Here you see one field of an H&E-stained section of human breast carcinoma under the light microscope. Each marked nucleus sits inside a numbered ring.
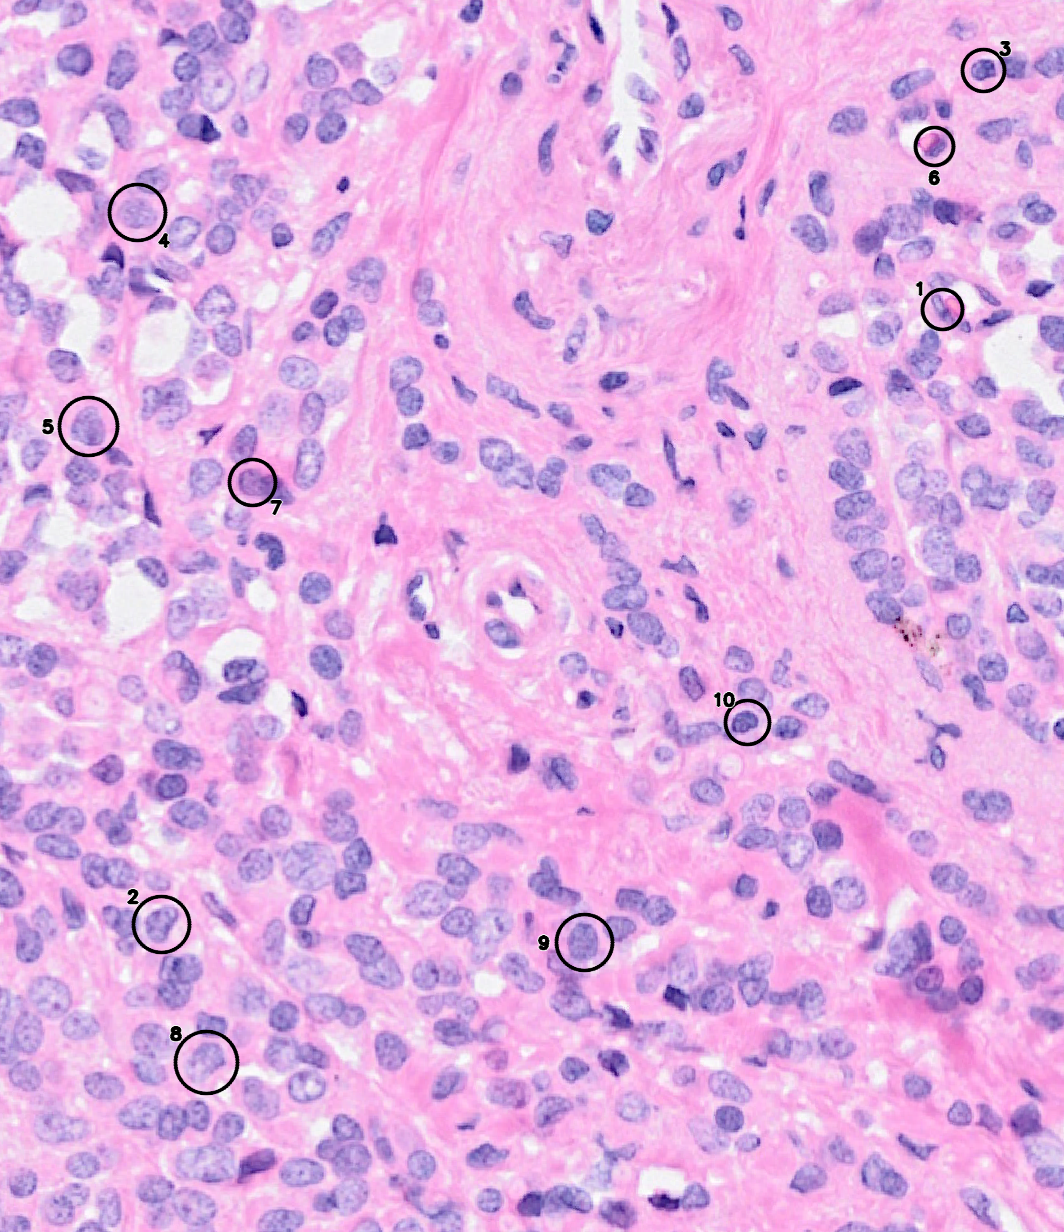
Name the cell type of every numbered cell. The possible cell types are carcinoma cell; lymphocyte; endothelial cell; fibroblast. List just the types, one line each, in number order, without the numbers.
endothelial cell
carcinoma cell
lymphocyte
carcinoma cell
carcinoma cell
endothelial cell
carcinoma cell
carcinoma cell
carcinoma cell
lymphocyte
